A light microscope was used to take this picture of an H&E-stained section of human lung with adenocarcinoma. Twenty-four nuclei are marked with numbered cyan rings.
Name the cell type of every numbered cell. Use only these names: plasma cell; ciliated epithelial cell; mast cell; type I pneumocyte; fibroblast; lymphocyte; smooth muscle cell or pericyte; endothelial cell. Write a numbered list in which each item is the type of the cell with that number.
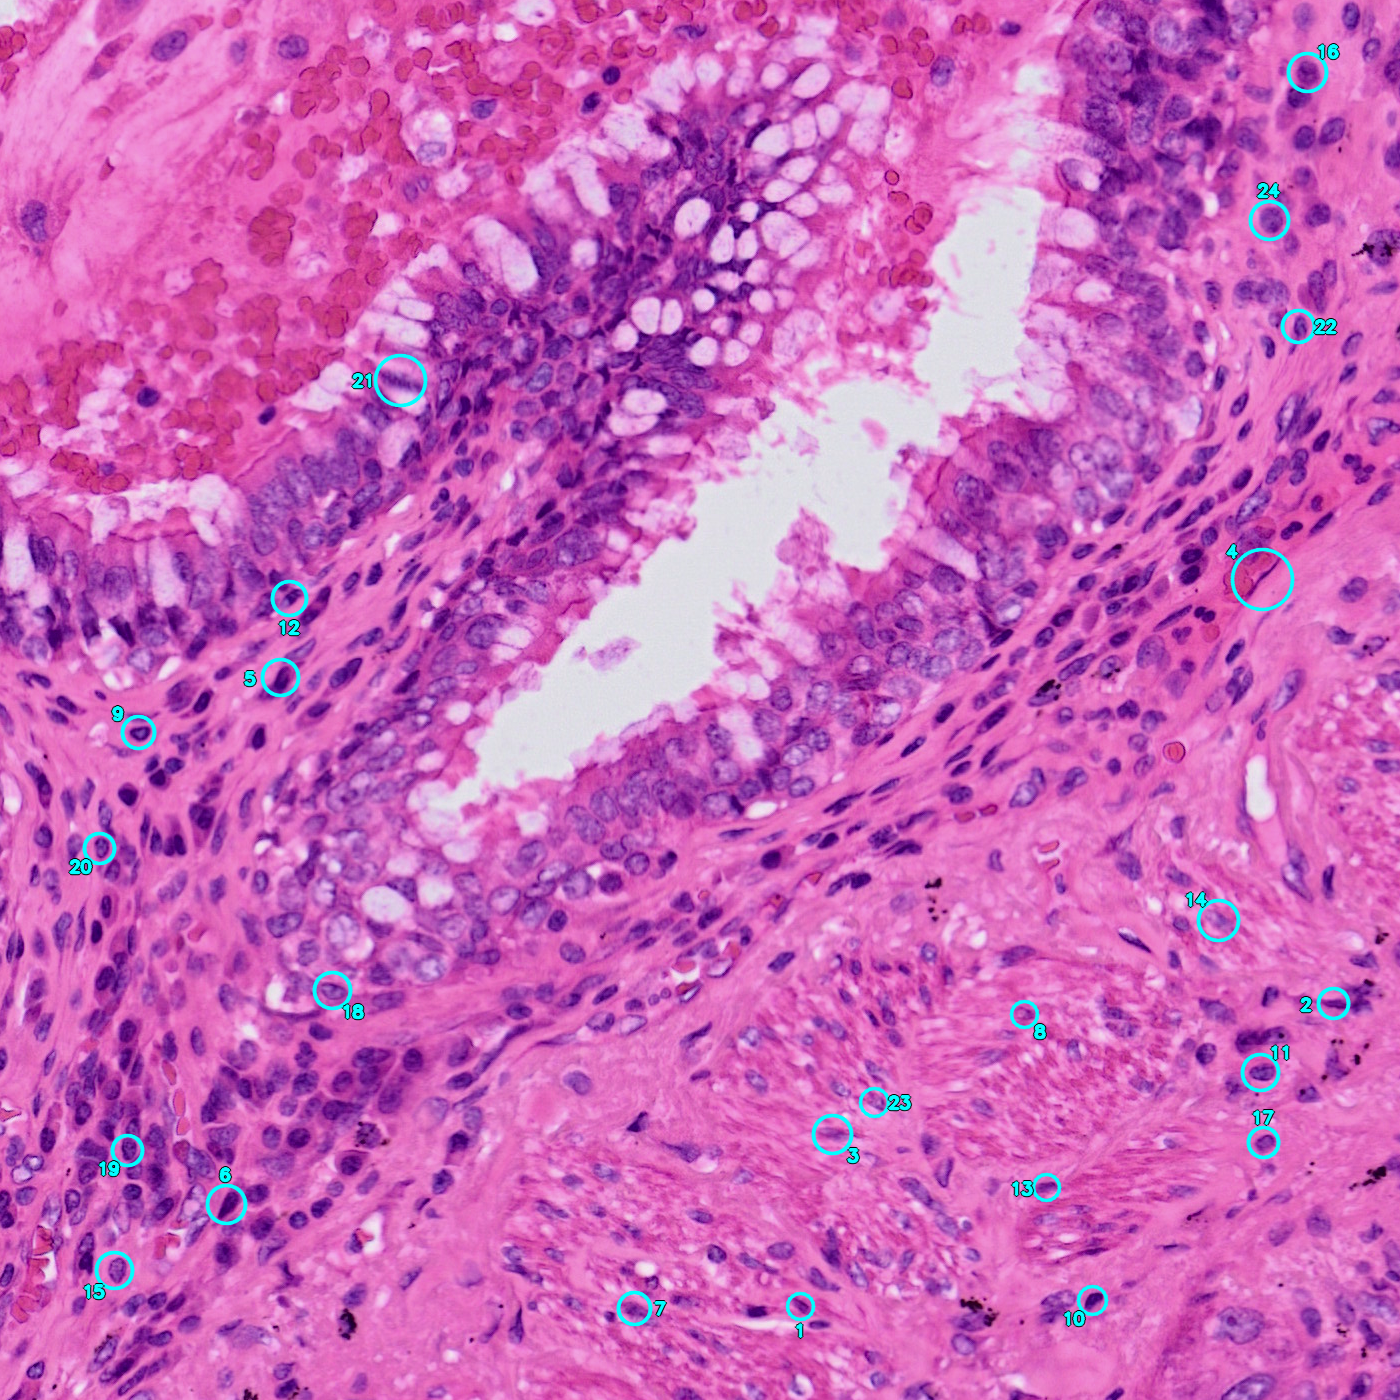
1. smooth muscle cell or pericyte
2. plasma cell
3. smooth muscle cell or pericyte
4. endothelial cell
5. plasma cell
6. plasma cell
7. smooth muscle cell or pericyte
8. smooth muscle cell or pericyte
9. mast cell
10. mast cell
11. mast cell
12. lymphocyte
13. smooth muscle cell or pericyte
14. smooth muscle cell or pericyte
15. mast cell
16. plasma cell
17. mast cell
18. ciliated epithelial cell
19. lymphocyte
20. mast cell
21. ciliated epithelial cell
22. mast cell
23. smooth muscle cell or pericyte
24. plasma cell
